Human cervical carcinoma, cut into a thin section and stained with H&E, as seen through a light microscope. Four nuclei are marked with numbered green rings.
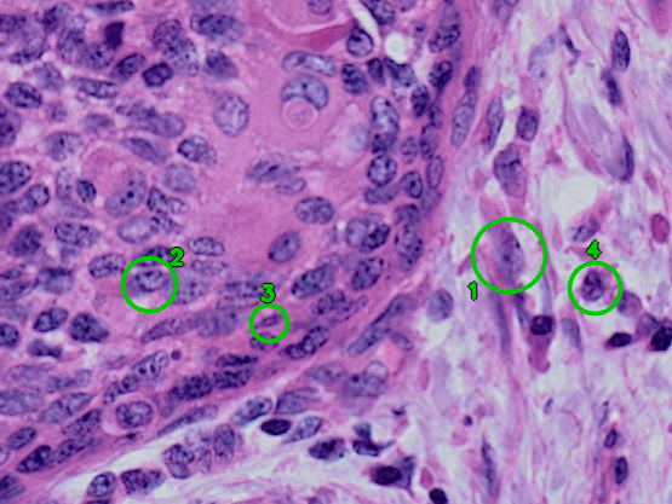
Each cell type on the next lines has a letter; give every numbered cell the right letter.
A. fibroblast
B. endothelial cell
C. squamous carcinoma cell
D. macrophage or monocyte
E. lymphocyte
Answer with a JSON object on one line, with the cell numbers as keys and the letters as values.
{"1": "A", "2": "C", "3": "C", "4": "D"}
